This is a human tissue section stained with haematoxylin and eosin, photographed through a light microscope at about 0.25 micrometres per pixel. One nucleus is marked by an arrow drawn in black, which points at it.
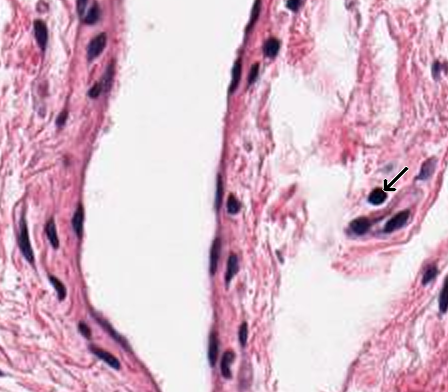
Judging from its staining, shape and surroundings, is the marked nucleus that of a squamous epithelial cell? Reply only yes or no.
no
